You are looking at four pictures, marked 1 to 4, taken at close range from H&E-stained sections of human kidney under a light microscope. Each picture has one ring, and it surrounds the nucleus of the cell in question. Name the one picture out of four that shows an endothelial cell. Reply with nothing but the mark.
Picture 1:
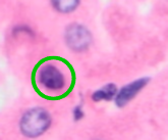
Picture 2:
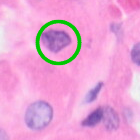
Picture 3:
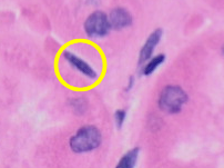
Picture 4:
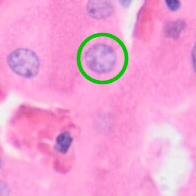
3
